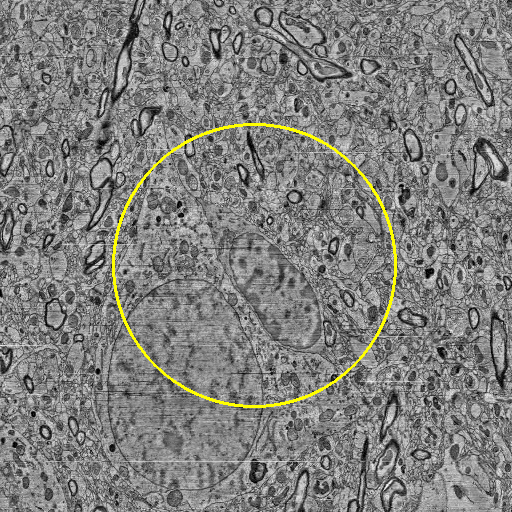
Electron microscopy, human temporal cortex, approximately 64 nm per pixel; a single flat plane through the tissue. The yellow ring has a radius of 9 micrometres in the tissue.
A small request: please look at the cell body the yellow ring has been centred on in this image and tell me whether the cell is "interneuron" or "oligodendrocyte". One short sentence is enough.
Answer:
The cell marked by the ring is an oligodendrocyte.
